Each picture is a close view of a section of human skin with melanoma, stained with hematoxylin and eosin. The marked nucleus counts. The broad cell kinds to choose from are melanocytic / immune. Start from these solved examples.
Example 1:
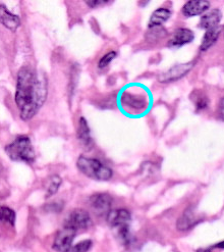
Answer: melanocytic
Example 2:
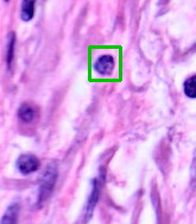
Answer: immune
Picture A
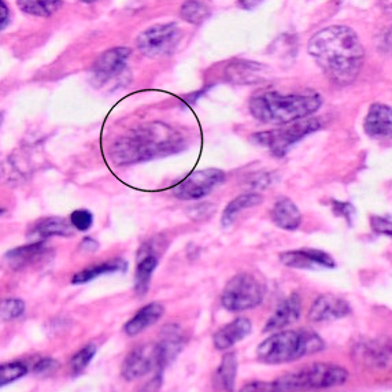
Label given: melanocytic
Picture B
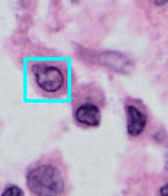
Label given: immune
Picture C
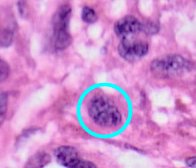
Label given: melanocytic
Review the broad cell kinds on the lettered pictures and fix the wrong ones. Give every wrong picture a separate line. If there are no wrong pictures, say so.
All labels are correct.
